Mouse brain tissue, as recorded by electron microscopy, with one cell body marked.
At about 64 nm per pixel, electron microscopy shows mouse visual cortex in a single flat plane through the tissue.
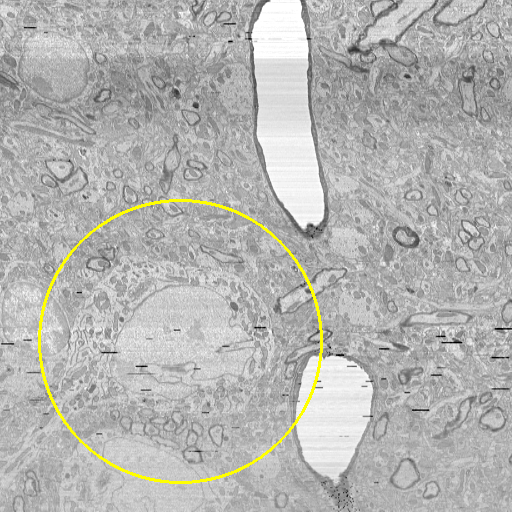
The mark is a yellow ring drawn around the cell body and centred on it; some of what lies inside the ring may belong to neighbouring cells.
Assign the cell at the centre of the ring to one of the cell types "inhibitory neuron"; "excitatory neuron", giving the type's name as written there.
inhibitory neuron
